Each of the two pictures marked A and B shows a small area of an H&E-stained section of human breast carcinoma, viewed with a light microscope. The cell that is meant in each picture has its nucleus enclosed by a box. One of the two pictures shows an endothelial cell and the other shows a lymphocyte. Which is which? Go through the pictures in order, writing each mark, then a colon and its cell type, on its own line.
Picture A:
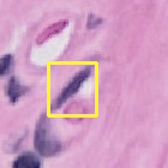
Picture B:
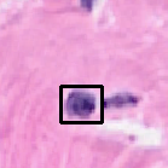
A: endothelial cell
B: lymphocyte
